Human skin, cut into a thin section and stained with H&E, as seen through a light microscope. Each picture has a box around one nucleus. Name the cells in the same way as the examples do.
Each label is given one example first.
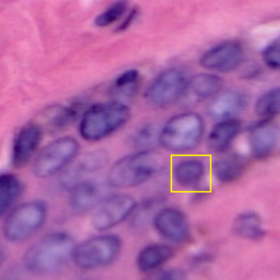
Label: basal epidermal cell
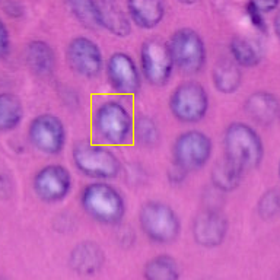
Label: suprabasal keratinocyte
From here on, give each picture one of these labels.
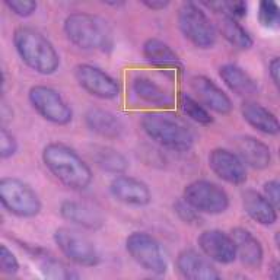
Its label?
basal epidermal cell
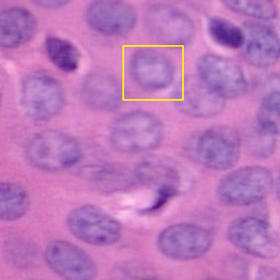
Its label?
suprabasal keratinocyte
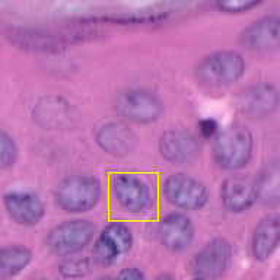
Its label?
suprabasal keratinocyte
